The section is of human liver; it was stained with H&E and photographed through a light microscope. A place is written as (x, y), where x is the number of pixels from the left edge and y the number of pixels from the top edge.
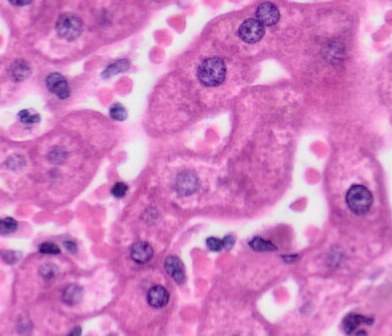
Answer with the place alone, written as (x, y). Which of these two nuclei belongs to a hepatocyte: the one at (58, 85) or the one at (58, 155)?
(58, 155)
